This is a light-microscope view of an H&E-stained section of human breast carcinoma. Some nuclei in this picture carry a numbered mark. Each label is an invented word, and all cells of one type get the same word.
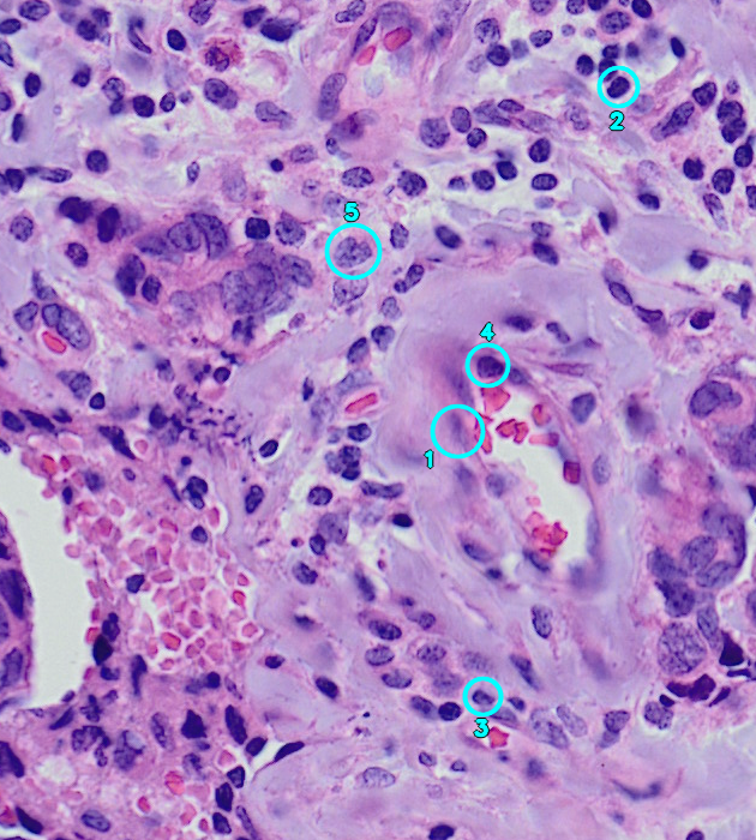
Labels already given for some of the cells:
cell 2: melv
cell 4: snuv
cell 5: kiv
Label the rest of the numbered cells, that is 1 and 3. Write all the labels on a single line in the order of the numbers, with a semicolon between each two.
snuv; melv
